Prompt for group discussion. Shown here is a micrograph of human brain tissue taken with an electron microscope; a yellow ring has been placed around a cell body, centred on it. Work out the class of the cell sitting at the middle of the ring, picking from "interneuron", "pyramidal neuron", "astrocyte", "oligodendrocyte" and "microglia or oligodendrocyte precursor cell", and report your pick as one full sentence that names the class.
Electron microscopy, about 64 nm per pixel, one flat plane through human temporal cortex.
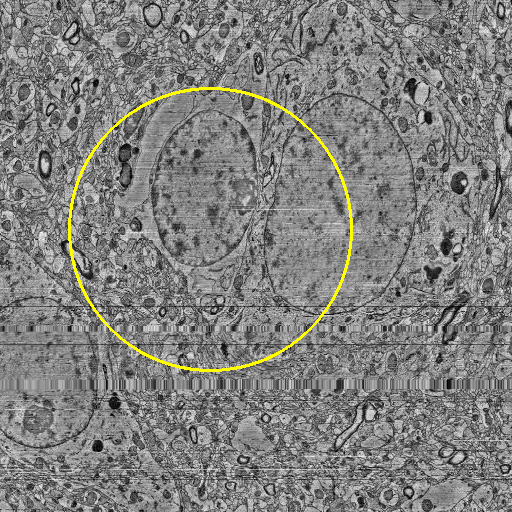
The cell sitting at the middle of the yellow ring is an astrocyte.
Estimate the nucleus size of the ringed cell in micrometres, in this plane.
The nucleus is about 10 micrometres in length and 7 in width, clearly longer than it is wide in this plane.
